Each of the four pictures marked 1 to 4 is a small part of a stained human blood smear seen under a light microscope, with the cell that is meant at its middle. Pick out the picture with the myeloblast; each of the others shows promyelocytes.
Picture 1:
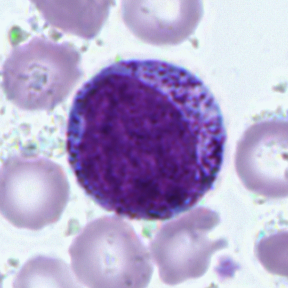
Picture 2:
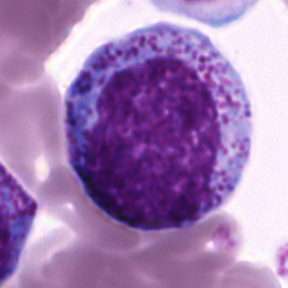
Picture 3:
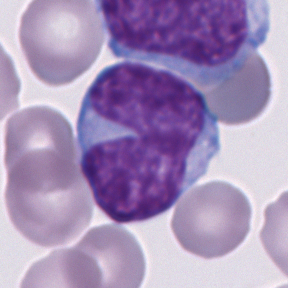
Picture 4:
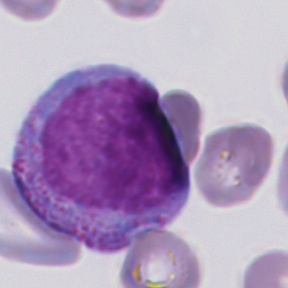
3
